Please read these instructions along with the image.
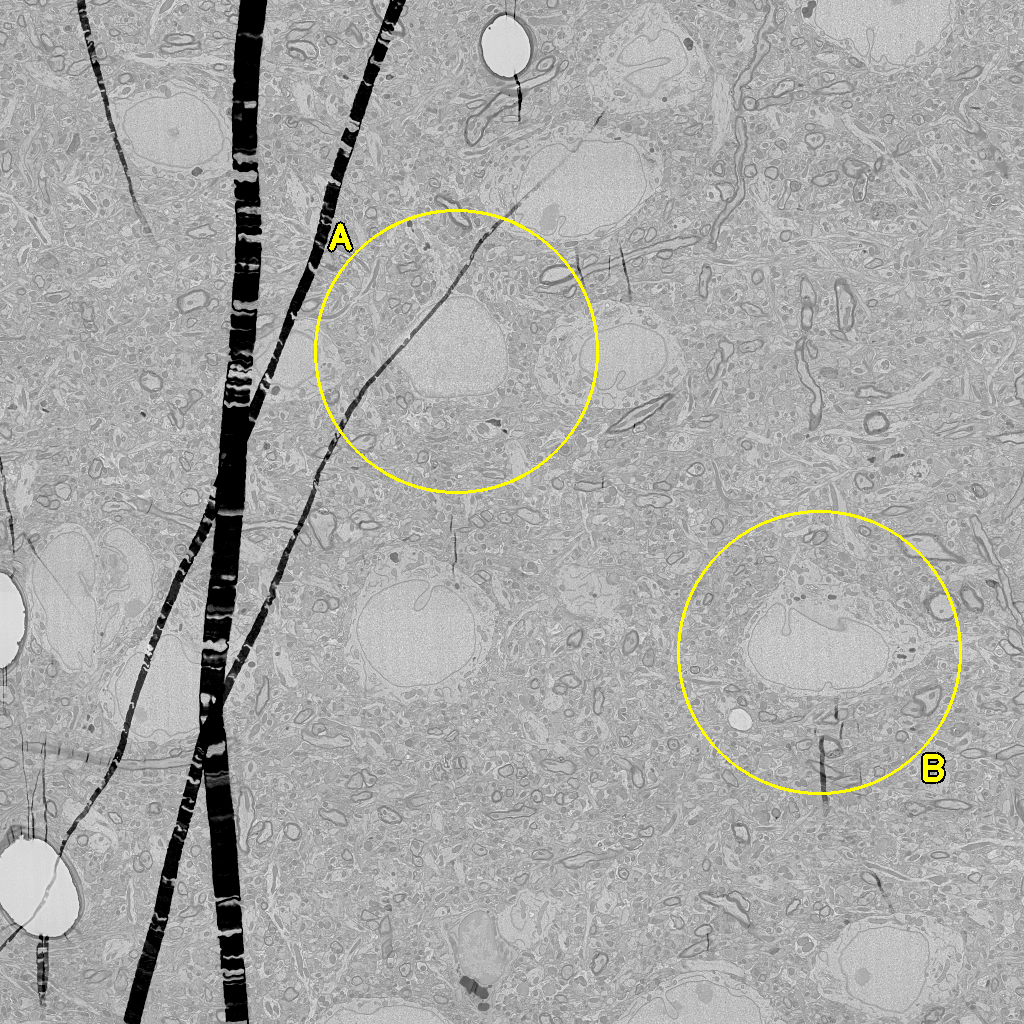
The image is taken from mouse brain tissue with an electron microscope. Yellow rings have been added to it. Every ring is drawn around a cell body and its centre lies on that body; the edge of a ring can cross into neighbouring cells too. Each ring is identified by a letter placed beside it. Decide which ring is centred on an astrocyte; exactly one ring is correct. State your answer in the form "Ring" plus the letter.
Ring A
